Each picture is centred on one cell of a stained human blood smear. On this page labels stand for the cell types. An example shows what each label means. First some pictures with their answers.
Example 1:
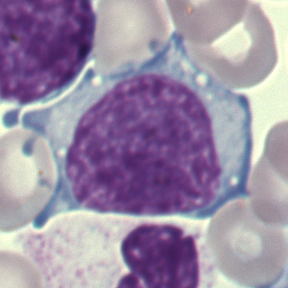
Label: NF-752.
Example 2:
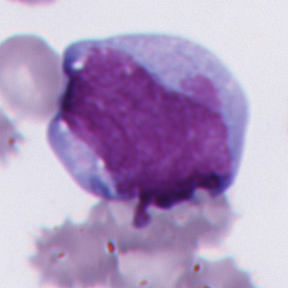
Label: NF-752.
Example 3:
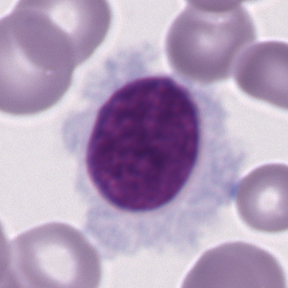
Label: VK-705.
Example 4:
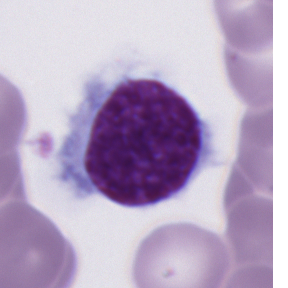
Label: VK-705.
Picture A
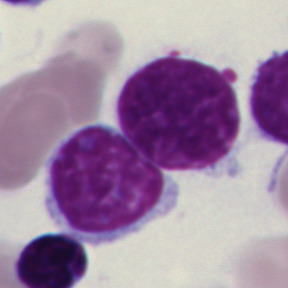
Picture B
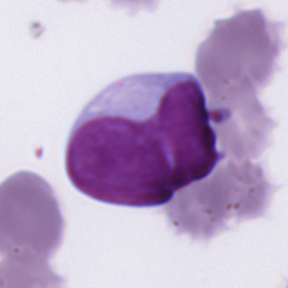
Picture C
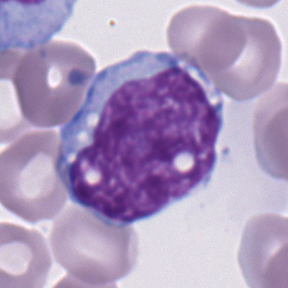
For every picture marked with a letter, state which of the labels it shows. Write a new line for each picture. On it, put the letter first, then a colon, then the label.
A: NF-752.
B: NF-752.
C: NF-752.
